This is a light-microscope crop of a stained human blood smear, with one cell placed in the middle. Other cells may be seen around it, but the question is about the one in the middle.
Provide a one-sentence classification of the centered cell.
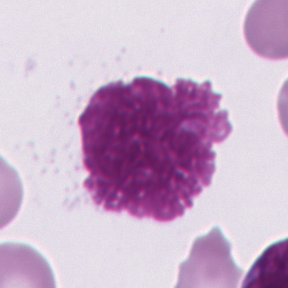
Centred in the crop is a smudge cell.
